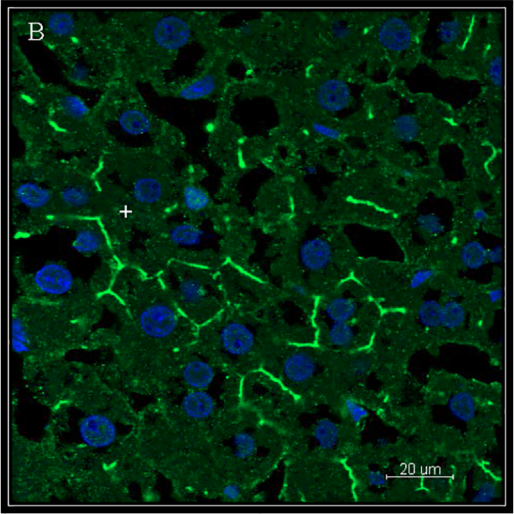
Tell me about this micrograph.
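Liver tissue of plates of polygonal hepatocytes with round blue nuclei, separated by dark sinusoidal spaces along which lie a few flattened nuclei. Bright green thin lines run between neighbouring hepatocytes and branch into a network marking the canalicular membrane, while the cytoplasm shows faint granular green.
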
